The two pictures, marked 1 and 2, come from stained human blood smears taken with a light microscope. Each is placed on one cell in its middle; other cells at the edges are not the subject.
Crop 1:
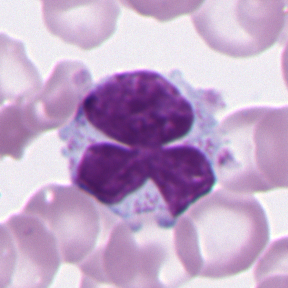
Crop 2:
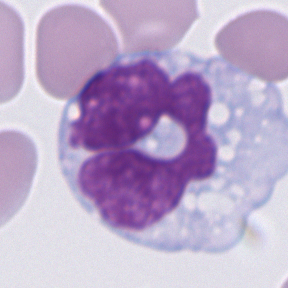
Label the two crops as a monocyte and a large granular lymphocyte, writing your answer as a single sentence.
Crop 1 is a large granular lymphocyte, with crop 2 being a monocyte.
